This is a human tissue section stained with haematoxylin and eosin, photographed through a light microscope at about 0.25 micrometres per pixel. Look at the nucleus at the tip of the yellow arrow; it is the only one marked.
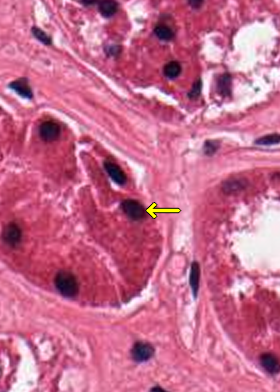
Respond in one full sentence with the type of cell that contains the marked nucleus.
What the marked nucleus belongs to is a proximal tubule cell.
